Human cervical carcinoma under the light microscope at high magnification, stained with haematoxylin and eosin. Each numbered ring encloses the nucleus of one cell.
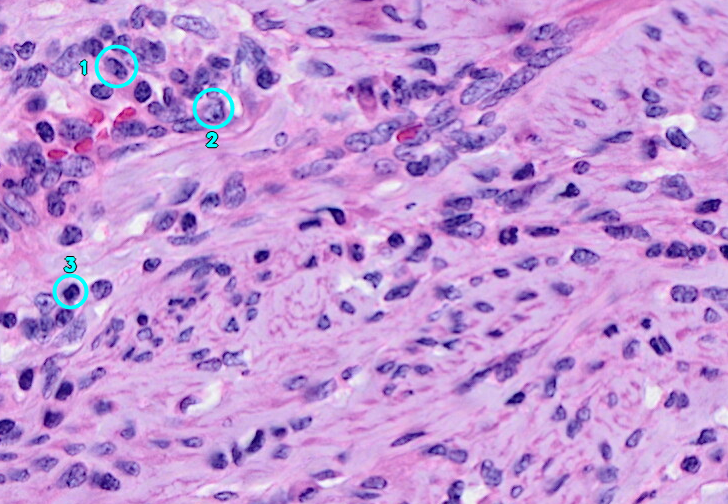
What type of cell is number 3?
lymphocyte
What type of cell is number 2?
endothelial cell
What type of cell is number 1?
lymphocyte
